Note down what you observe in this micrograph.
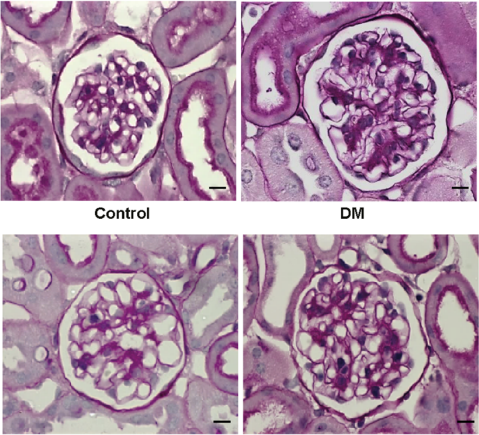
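The tufts show open capillary loops between magenta mesangial matrix. One glomerulus is larger, with broader, denser magenta mesangial areas and fewer open loops.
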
